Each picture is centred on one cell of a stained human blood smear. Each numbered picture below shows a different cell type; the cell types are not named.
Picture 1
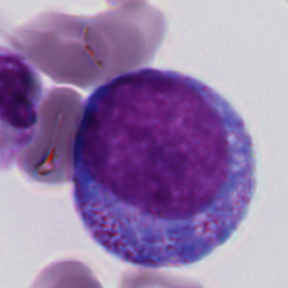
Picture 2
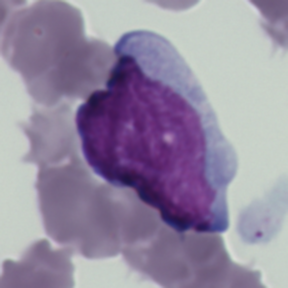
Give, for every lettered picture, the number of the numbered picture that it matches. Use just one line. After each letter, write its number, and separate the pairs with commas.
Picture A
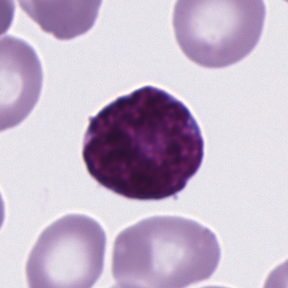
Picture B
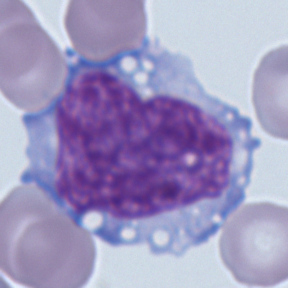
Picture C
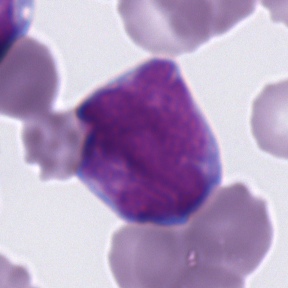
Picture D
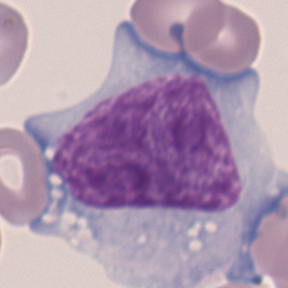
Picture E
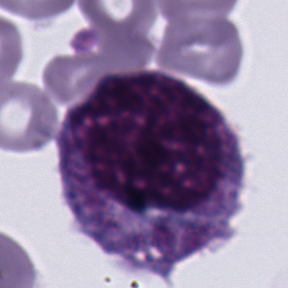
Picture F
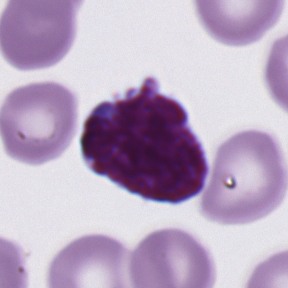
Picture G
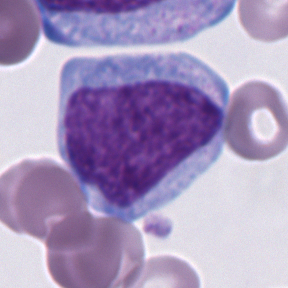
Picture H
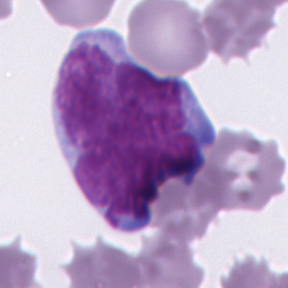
A 2, B 2, C 2, D 2, E 1, F 2, G 1, H 2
